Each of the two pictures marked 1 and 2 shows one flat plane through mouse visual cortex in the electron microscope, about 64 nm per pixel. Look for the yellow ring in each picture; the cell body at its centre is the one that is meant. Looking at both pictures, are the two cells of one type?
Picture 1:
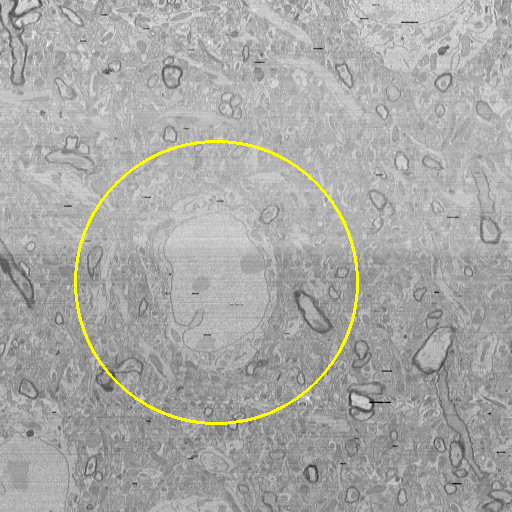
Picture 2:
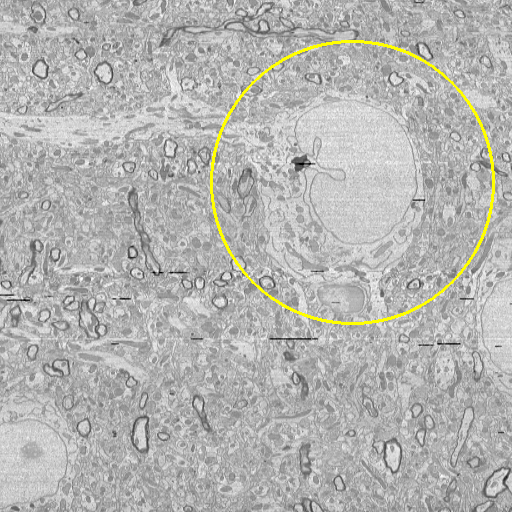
Yes, the two pictures both show excitatory neurons.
